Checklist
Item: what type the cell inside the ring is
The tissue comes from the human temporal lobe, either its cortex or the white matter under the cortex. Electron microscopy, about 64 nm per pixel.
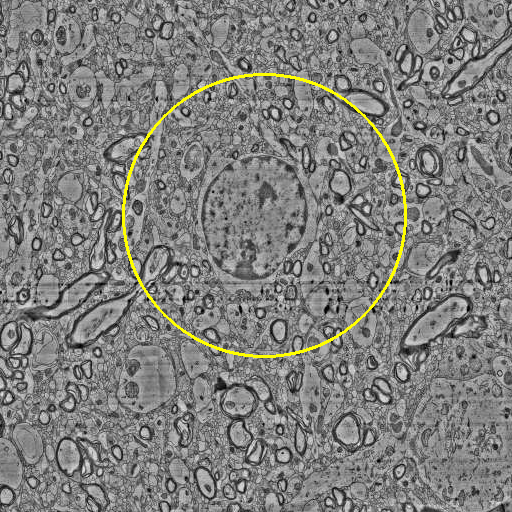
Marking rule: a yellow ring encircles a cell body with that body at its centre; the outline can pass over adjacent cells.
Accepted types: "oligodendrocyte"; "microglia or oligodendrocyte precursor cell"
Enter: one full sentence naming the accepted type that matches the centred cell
The entry is that a microglial cell or oligodendrocyte precursor cell lies at the centre of the yellow ring.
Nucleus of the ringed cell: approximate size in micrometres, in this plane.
About 8 micrometres by about 7 micrometres in this plane.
